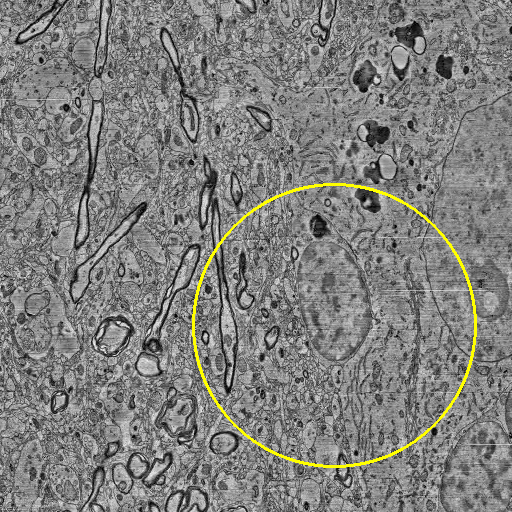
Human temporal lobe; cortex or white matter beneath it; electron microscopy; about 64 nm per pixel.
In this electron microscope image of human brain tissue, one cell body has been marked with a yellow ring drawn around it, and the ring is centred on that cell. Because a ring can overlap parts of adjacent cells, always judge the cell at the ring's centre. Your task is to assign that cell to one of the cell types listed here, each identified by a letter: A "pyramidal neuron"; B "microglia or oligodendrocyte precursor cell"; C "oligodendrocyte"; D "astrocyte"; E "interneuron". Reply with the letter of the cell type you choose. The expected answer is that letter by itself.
C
